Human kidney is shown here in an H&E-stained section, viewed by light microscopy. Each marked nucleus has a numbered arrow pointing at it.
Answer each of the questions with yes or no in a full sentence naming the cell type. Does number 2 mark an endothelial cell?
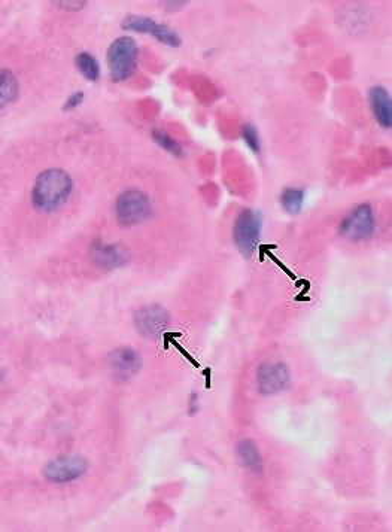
Yes, among the marked cells, the one with number 2 is an endothelial cell.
